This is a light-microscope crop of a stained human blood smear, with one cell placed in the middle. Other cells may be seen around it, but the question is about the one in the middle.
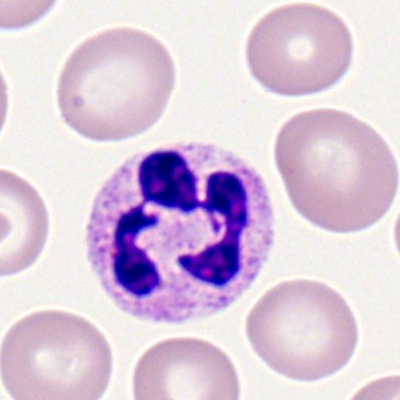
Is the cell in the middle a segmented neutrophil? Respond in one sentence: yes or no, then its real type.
Yes, the cell sitting in the middle of this smear crop is a segmented neutrophil.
